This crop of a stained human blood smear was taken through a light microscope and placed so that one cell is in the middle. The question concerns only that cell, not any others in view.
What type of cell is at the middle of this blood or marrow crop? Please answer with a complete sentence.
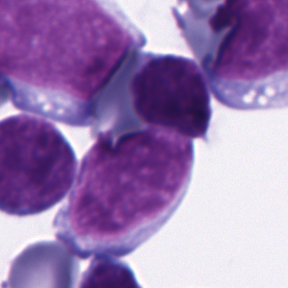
The cell that lies at the centre of the crop is a myeloblast.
